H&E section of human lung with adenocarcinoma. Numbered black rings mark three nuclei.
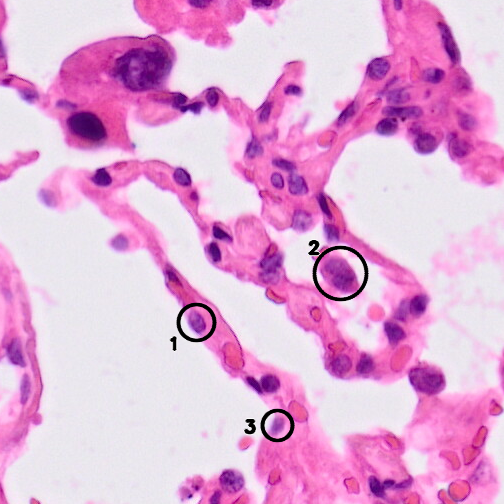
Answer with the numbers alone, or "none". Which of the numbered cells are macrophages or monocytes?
2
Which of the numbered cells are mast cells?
none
